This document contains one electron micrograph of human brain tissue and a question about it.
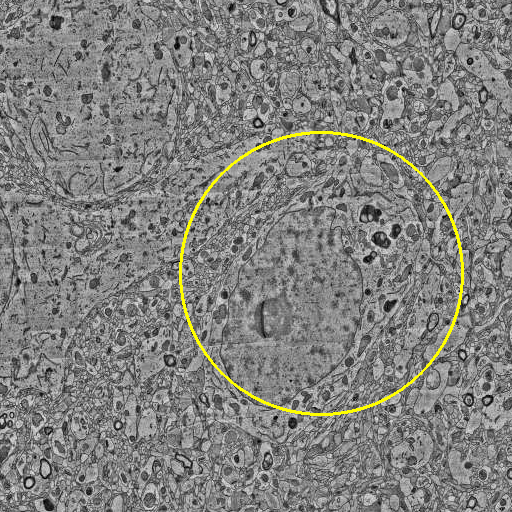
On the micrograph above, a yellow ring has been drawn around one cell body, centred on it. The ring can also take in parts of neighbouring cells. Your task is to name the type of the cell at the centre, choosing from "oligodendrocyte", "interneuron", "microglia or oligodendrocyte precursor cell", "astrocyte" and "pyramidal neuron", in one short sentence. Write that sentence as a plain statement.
Here the ring is centred on an interneuron.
